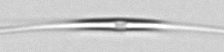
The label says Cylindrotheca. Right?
Right.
